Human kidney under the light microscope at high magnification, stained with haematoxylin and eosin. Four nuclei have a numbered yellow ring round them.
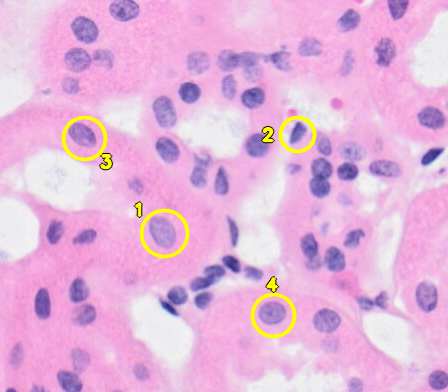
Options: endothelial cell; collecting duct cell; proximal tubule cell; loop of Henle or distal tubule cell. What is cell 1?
proximal tubule cell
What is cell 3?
proximal tubule cell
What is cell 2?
endothelial cell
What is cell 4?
proximal tubule cell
